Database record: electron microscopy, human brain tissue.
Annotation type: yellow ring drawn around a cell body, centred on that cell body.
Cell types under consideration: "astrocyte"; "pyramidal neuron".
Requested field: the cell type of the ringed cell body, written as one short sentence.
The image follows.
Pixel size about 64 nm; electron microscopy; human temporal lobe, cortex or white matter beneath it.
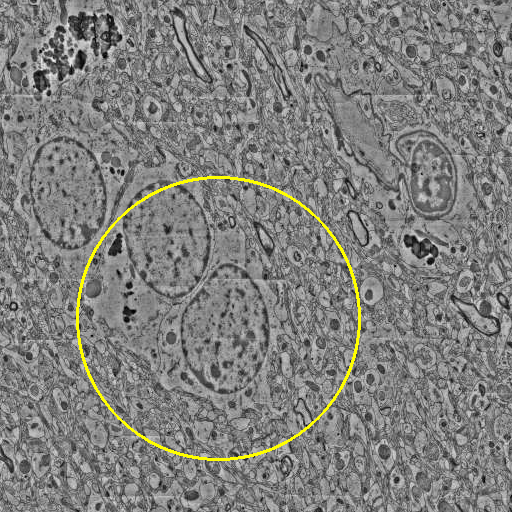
The ringed cell body represents an astrocyte.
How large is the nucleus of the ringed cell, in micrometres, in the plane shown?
Approximately 8 x 6 micrometres in this plane.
